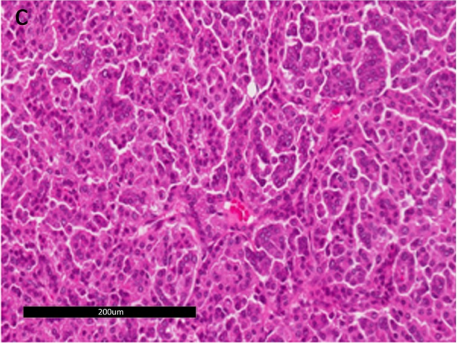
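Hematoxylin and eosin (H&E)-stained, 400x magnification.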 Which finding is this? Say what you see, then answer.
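Pleomorphic nuclei. Nuclei vary in size and shape from cell to cell.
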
